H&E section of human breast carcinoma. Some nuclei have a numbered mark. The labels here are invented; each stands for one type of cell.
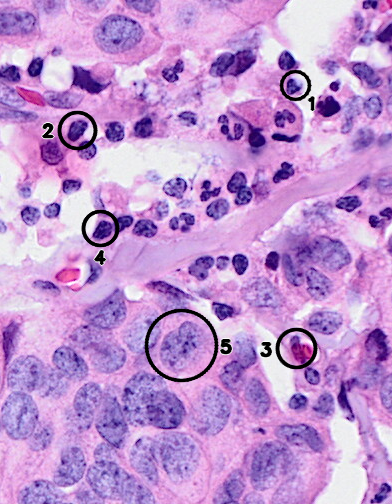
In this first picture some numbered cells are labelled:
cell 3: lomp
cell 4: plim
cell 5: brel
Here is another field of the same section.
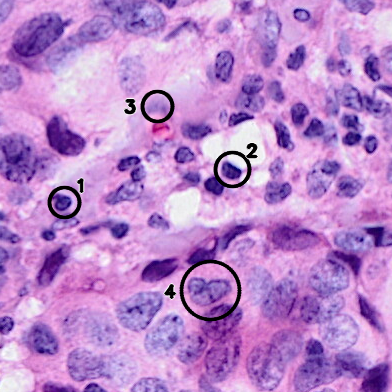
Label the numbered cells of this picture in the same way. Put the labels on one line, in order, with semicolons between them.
plim; plim; lomp; brel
